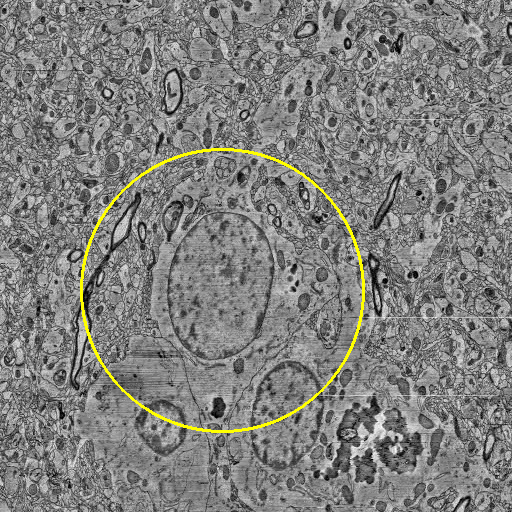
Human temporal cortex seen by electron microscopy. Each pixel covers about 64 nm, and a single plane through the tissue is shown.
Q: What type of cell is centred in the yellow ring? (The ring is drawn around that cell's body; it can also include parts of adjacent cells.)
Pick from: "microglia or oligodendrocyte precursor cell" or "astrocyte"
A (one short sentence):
The yellow ring is centred on an astrocyte.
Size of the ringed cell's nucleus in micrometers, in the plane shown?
About 10 by 7 micrometers for the nucleus, in this plane.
